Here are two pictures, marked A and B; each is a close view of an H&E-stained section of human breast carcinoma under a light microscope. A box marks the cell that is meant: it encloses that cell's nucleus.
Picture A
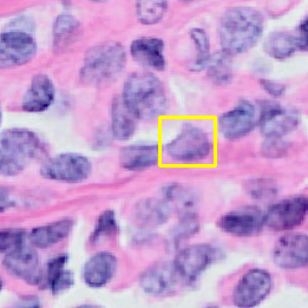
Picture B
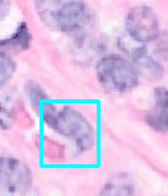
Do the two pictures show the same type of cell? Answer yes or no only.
no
